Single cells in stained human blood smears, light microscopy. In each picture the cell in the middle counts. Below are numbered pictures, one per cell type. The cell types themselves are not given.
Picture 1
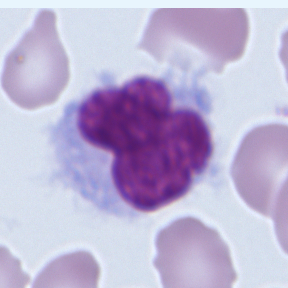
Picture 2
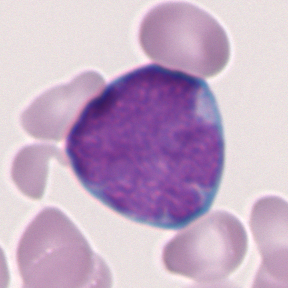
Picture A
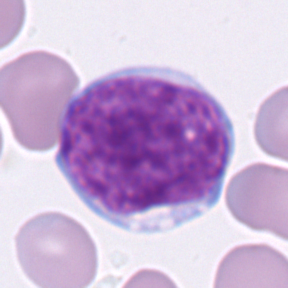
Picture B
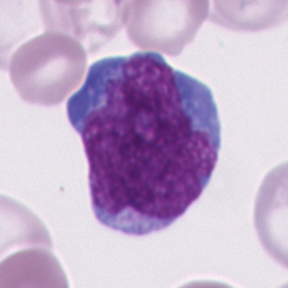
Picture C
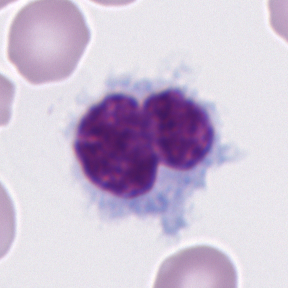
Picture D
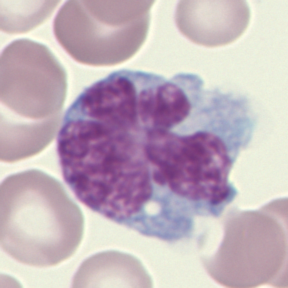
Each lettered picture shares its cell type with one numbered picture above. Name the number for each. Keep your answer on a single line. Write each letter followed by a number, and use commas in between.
A 2, B 2, C 1, D 2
